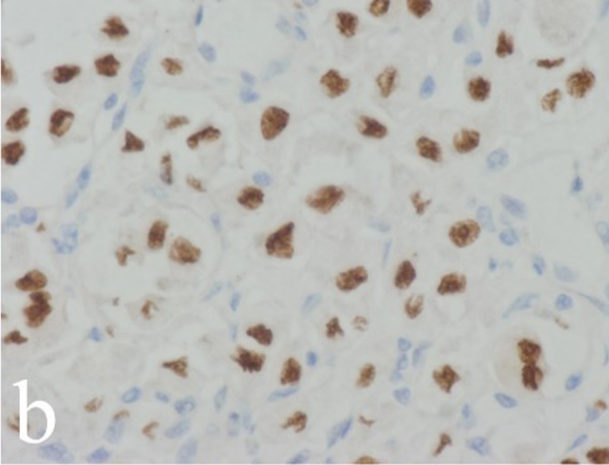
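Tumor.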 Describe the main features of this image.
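Tumour cells in which the nuclei are stained brown, seen at high magnification. The brown-stained nuclei are round to oval, rather large, and spread fairly evenly across the field. Each sits in a pale, nearly clear cytoplasm, and the cell borders are faint. Between the tumour cells lie smaller, slender, elongated nuclei stained only blue, belonging to the thin supporting stroma. These blue nuclei take up none of the brown colour, so the brown is restricted to the nuclei of the large tumour cells.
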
